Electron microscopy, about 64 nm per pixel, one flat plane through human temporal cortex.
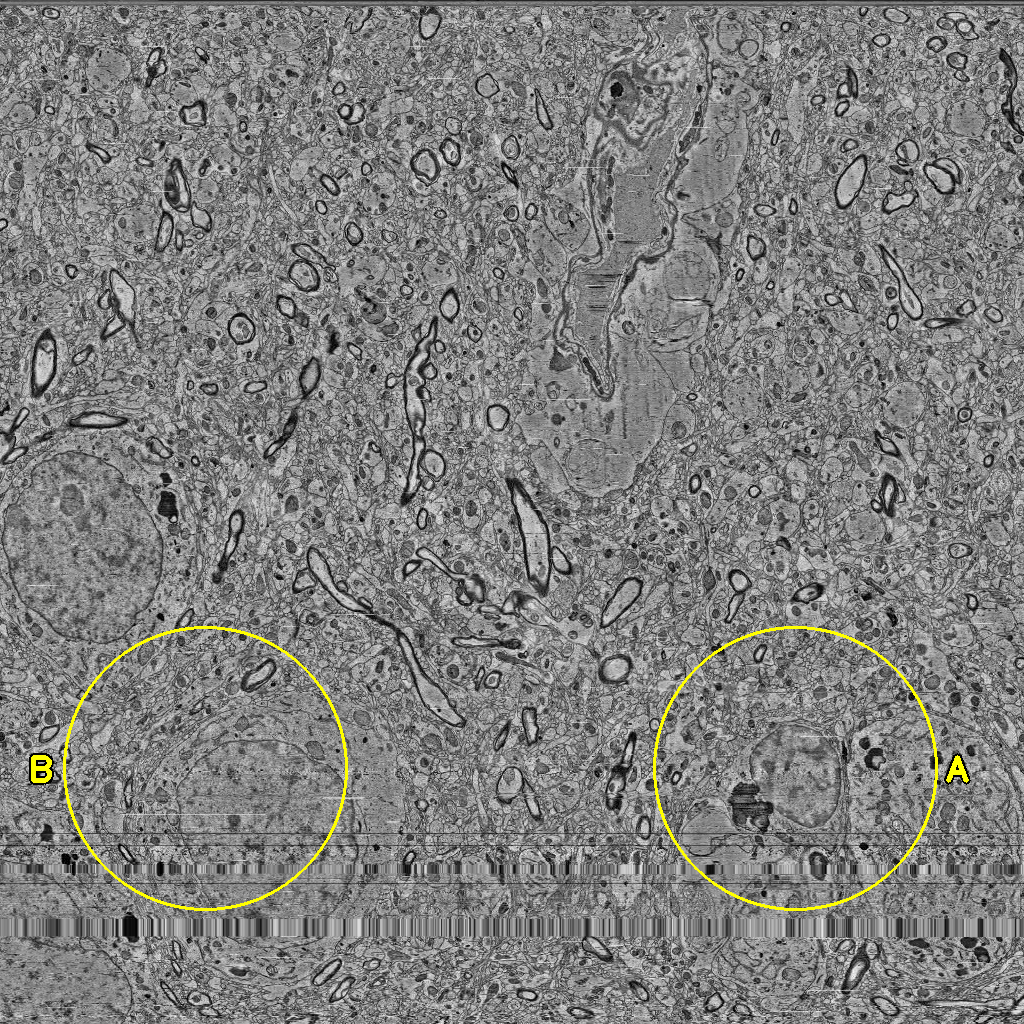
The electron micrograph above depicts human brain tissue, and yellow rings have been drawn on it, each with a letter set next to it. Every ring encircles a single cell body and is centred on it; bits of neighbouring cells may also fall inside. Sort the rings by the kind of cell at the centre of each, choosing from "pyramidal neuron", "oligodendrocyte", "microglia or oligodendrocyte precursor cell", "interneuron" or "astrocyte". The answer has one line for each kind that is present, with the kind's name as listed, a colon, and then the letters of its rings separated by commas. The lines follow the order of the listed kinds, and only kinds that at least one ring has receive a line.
pyramidal neuron: B
oligodendrocyte: A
